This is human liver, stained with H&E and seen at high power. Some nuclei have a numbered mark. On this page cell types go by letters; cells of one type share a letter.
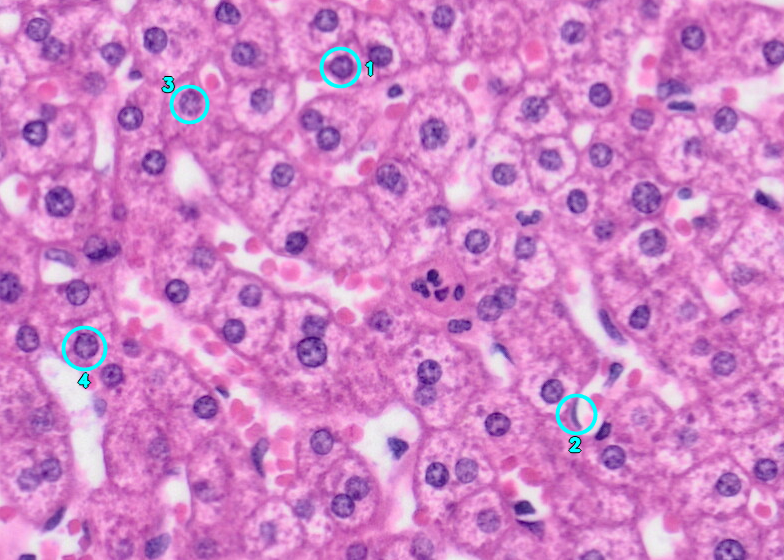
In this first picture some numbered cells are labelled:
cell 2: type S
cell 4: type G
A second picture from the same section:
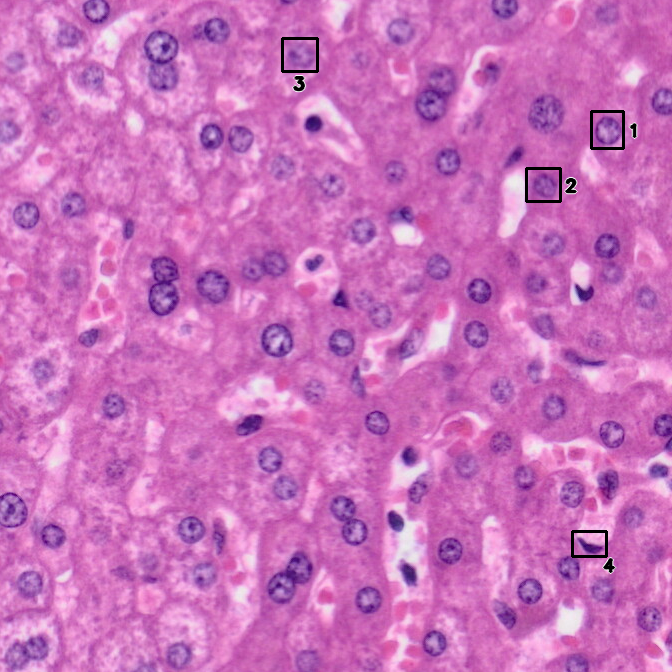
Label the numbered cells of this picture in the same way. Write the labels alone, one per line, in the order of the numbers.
type G
type G
type G
type S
